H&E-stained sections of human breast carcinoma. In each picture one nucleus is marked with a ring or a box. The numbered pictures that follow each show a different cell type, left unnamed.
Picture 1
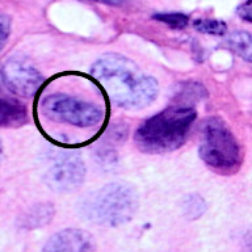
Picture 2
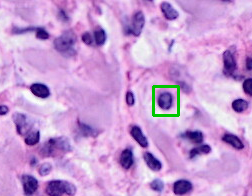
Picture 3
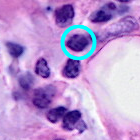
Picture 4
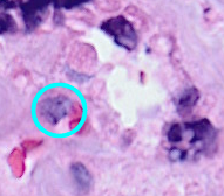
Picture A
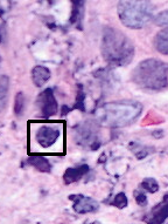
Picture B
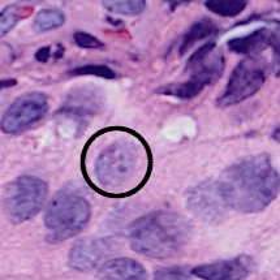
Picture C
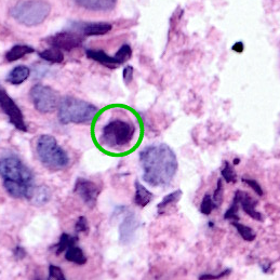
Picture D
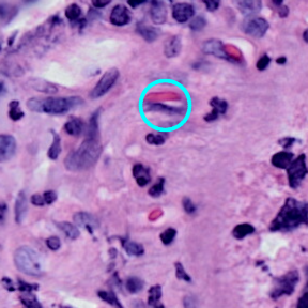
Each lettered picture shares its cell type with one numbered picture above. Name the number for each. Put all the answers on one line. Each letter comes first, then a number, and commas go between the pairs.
A 3, B 1, C 1, D 4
